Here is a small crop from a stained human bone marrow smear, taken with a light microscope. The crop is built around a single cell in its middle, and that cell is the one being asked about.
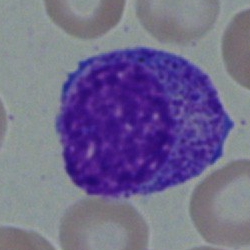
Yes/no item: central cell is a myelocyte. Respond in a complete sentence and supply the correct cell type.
Yes, the cell in the middle of the crop is a myelocyte.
